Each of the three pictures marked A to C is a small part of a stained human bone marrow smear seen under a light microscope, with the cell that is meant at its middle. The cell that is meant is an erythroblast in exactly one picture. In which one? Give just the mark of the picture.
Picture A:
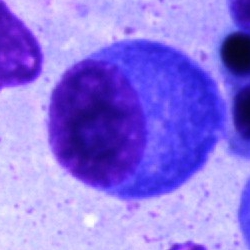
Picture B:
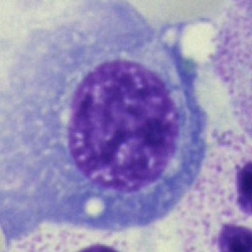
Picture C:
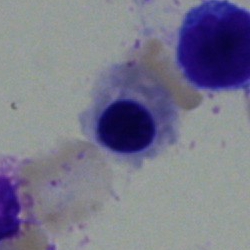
C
